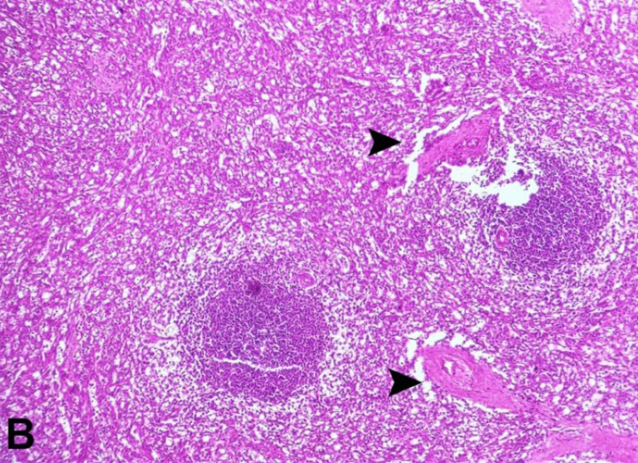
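Splenic tissue with two rounded, densely cellular nodules of white pulp made of closely packed small dark-staining lymphocytes. Around them lies red pulp, paler and pink, with a loose meshwork of cords and sinusoidal spaces. Pink, dense fibrous trabeculae, some containing small vessels, run close beside the nodules. The cellular zone at the edge of each nodule blends gradually into the red pulp.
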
